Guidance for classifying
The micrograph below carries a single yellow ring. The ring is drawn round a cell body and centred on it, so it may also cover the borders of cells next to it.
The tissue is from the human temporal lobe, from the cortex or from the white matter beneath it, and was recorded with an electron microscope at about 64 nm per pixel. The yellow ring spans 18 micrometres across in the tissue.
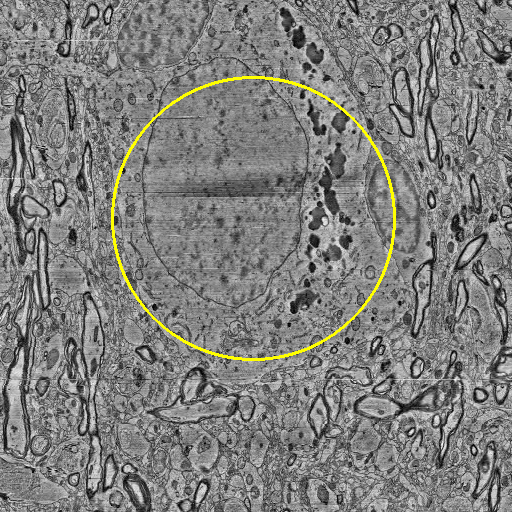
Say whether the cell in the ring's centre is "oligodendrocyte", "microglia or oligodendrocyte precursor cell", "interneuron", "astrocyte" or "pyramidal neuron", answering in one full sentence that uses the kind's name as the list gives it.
Within the yellow ring, a pyramidal neuron is the cell whose body sits at the centre.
